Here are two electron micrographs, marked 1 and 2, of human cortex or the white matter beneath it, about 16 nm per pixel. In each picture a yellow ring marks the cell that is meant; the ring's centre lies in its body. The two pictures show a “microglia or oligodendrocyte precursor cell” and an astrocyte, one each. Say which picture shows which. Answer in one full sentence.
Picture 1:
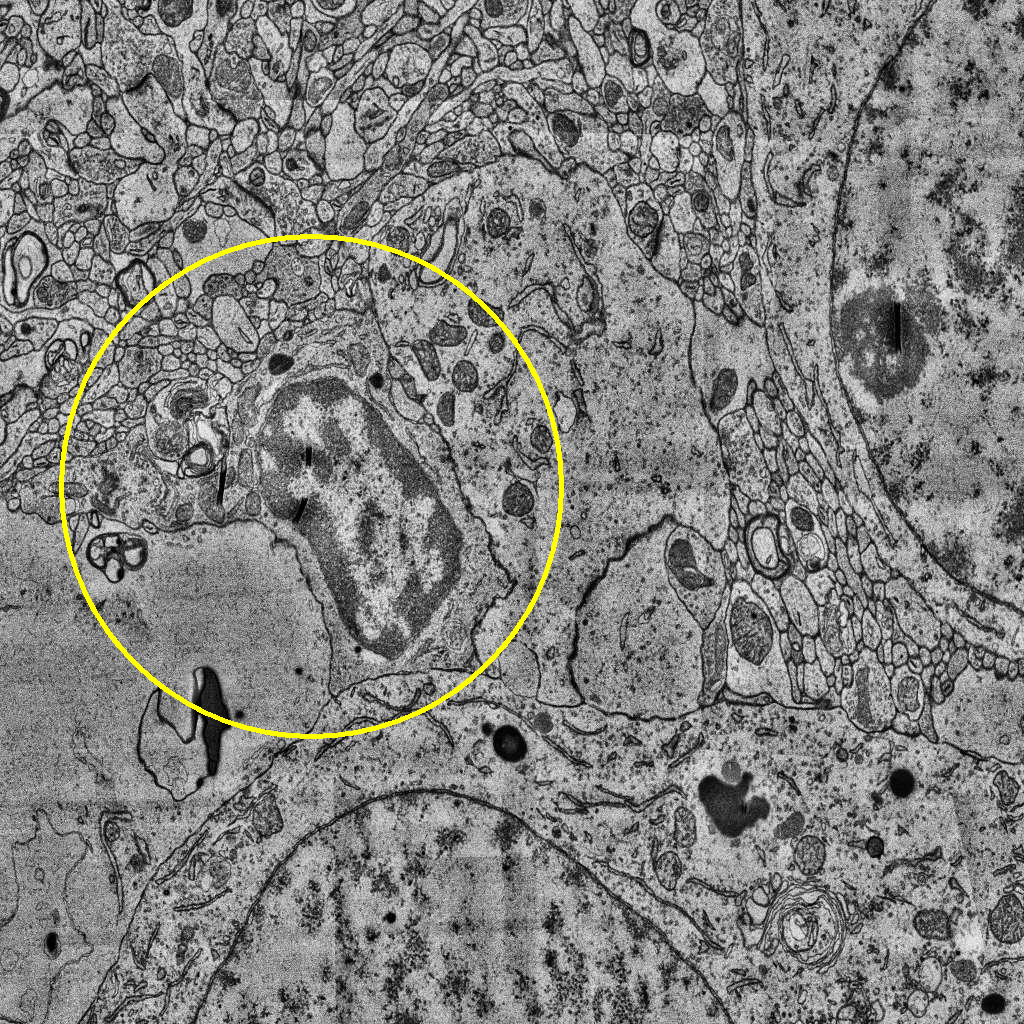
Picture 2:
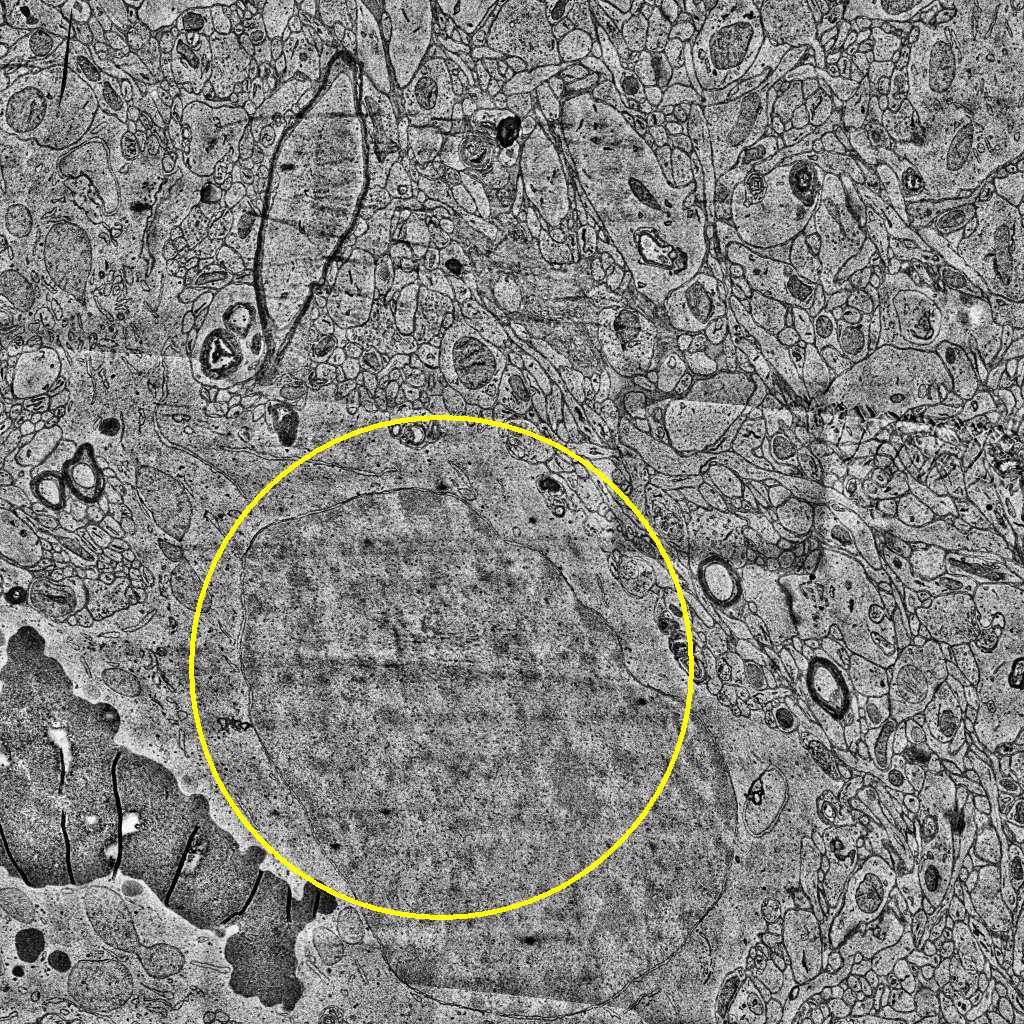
In picture 1 the cell is a “microglia or oligodendrocyte precursor cell”; in picture 2, an astrocyte.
